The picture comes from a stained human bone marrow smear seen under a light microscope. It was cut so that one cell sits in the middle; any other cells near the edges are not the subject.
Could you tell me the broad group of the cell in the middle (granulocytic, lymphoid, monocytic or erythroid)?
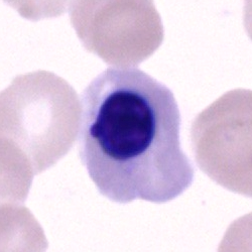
erythroid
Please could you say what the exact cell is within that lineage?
erythroblast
